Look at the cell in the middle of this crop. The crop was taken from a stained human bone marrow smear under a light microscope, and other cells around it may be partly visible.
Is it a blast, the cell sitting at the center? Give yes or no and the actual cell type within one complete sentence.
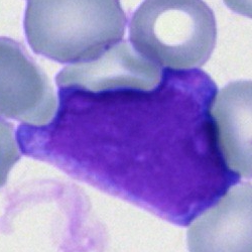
Yes, the cell in the middle of the crop is a blast.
